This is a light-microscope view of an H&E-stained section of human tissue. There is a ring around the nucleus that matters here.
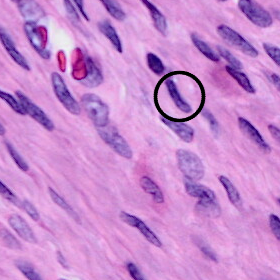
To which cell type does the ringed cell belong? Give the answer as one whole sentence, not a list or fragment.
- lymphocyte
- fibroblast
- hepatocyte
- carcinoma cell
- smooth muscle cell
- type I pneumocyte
Labelled by cell type, the ringed cell is a fibroblast.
